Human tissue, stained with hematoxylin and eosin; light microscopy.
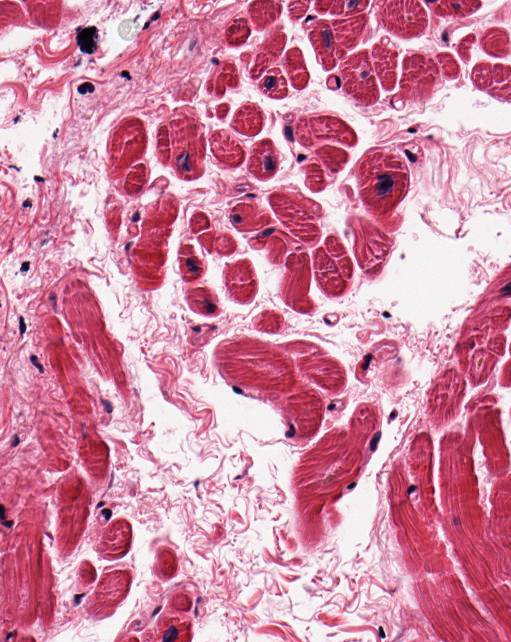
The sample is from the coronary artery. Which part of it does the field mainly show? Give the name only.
cardiac muscle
